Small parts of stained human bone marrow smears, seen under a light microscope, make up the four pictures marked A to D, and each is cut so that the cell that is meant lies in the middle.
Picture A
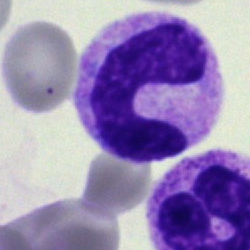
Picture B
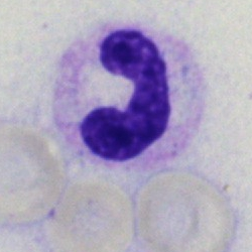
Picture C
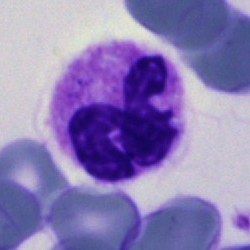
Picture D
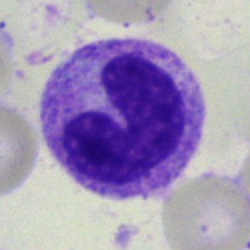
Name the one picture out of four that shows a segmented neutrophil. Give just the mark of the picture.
C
